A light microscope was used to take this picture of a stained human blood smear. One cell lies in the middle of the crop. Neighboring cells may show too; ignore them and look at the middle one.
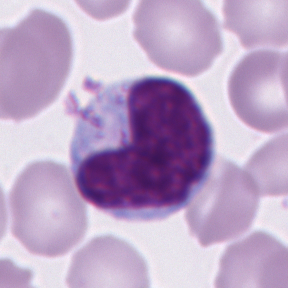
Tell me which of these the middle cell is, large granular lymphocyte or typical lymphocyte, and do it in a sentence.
Of the cells in this crop, the central one is a large granular lymphocyte.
